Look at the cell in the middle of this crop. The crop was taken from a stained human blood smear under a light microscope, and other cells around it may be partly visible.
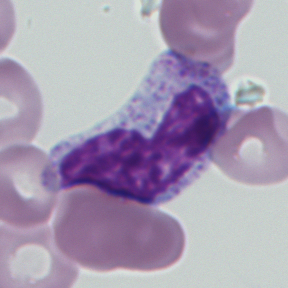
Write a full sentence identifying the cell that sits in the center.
This crop has a metamyelocyte at its centre.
